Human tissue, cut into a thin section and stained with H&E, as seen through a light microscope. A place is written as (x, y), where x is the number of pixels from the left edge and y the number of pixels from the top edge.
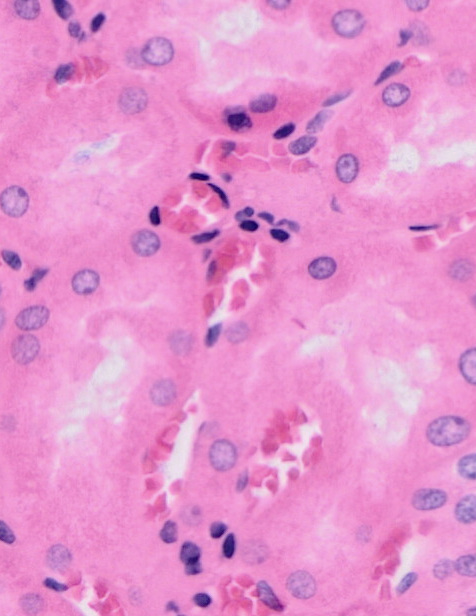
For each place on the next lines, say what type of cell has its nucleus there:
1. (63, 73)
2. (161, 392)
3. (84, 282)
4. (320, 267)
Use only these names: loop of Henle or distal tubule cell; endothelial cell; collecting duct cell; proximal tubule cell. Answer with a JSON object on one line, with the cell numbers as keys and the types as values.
{"1": "endothelial cell", "2": "proximal tubule cell", "3": "proximal tubule cell", "4": "proximal tubule cell"}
